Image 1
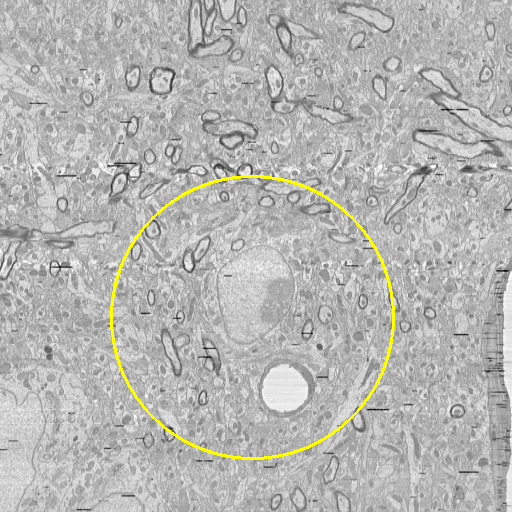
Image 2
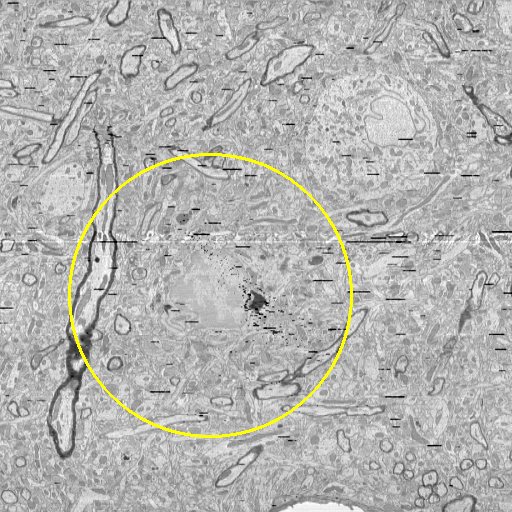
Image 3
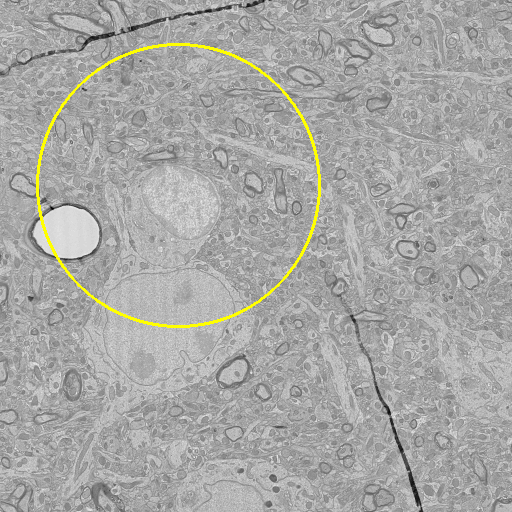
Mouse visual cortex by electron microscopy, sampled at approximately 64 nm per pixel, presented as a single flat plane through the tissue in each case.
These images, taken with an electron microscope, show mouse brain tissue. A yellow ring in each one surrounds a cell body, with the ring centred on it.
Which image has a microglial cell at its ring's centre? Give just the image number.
2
